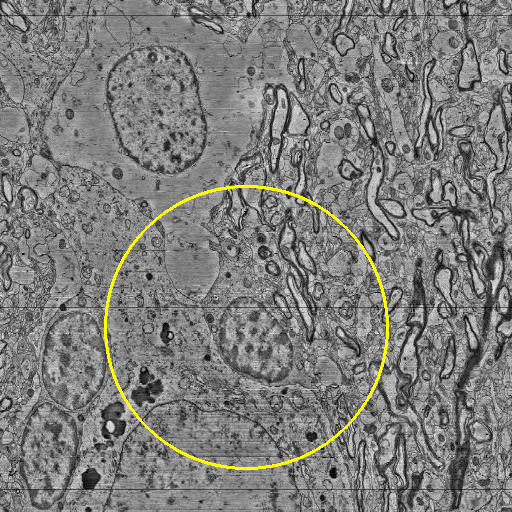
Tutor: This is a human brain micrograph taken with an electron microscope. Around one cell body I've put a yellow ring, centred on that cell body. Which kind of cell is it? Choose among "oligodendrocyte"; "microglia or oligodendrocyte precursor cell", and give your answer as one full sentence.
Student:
Going by your list, the cell centred in the yellow ring is an oligodendrocyte.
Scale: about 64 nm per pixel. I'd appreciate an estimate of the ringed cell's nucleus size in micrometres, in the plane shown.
In this plane the nucleus measures roughly 6 by 4 micrometres.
